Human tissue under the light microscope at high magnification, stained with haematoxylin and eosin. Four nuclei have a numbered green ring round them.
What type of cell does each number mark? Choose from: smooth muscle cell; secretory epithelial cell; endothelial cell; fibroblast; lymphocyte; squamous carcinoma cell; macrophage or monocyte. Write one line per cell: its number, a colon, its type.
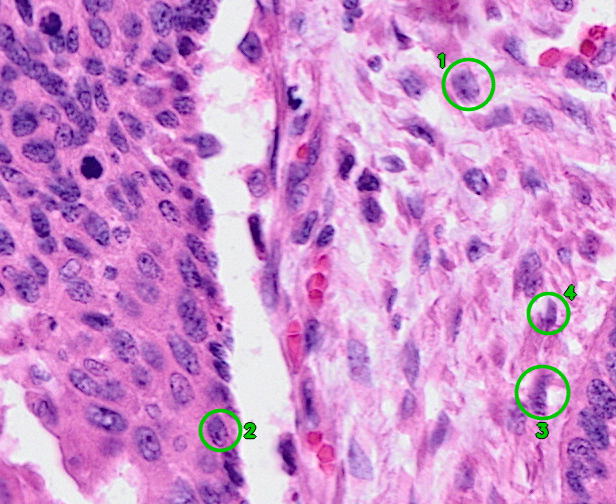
1: fibroblast
2: squamous carcinoma cell
3: fibroblast
4: fibroblast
